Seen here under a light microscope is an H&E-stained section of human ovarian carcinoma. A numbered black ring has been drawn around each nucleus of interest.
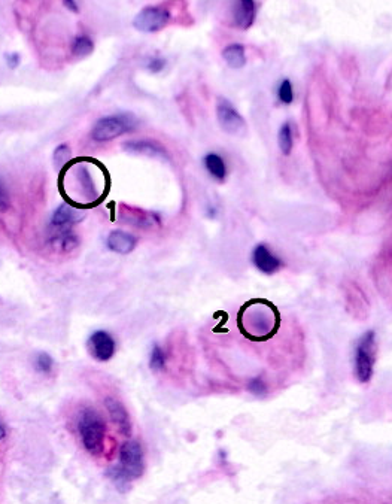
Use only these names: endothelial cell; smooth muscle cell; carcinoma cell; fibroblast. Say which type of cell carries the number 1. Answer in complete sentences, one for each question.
In the marked set, the cell given number 1 is an endothelial cell.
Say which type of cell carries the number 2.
The marked nucleus 2 is that of a smooth muscle cell.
